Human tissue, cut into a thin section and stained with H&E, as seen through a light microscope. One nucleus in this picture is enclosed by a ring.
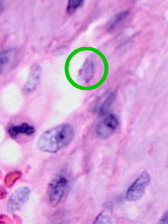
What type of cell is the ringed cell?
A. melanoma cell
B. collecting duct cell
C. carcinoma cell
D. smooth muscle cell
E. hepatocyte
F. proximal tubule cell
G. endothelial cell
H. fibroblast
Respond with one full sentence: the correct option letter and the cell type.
Option G is the one that fits, as the ringed cell is an endothelial cell.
